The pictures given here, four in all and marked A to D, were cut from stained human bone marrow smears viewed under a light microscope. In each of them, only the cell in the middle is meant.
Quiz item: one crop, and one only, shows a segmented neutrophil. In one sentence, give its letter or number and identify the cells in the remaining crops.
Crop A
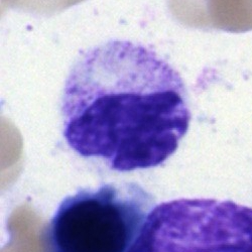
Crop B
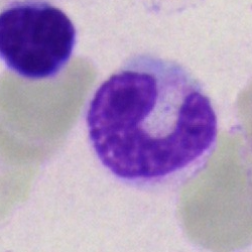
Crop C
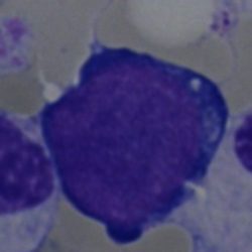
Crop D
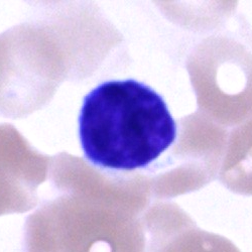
Crop A presents a segmented neutrophil at its centre, whereas crop B is a band neutrophil, crop C is a proerythroblast and crop D is a lymphocyte.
